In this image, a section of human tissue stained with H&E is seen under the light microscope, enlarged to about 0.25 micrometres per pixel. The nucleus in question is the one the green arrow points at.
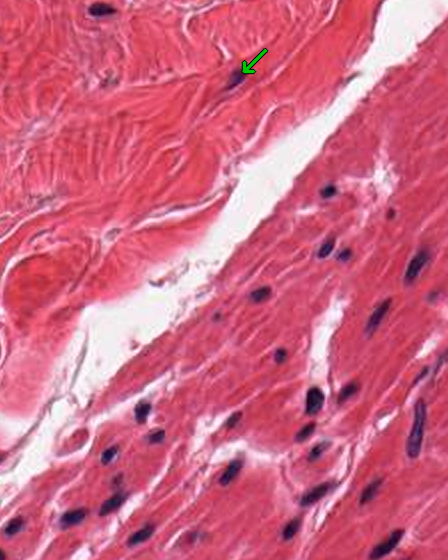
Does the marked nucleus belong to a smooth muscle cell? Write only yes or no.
no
